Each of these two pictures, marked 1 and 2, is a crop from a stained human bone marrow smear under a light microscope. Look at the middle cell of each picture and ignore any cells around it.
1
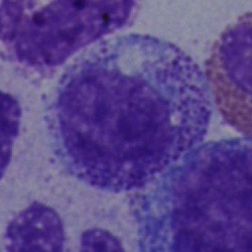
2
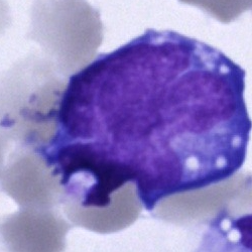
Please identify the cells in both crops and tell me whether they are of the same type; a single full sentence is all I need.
No, at the centre of crop 1 is a promyelocyte, and at the centre of crop 2 is a blast.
